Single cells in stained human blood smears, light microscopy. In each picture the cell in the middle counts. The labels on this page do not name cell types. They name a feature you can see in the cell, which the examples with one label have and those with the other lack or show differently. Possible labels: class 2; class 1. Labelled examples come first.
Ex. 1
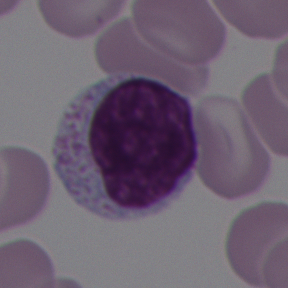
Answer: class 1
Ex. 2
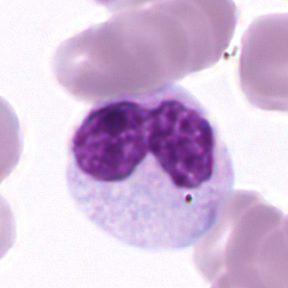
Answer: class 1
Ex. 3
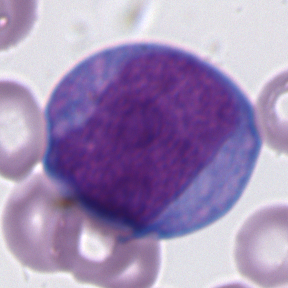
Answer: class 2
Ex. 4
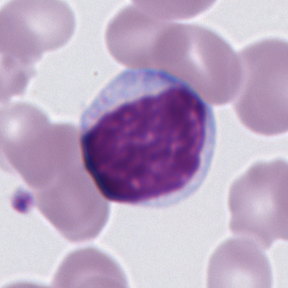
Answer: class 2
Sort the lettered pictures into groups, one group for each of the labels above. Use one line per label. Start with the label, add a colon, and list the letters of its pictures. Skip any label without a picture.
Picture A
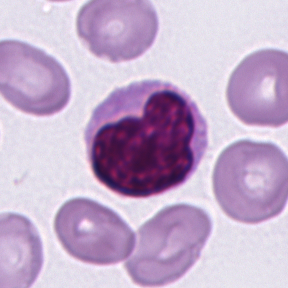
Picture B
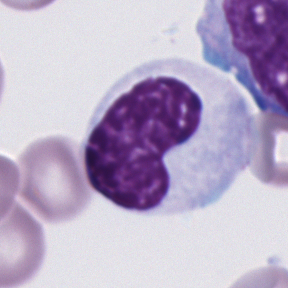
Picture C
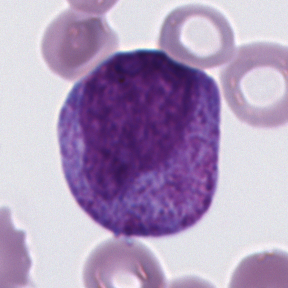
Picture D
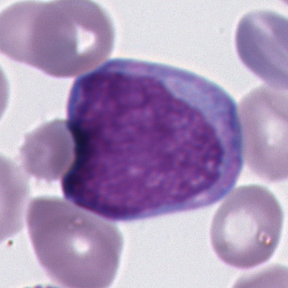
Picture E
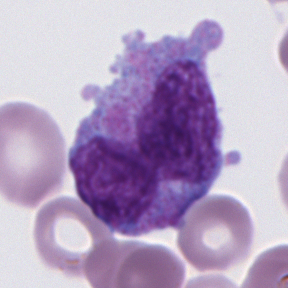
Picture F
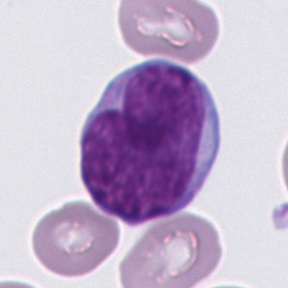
class 2: A, B, D, F
class 1: C, E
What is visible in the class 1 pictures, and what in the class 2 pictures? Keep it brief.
class 1, many visible granules; class 2, no visible granules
